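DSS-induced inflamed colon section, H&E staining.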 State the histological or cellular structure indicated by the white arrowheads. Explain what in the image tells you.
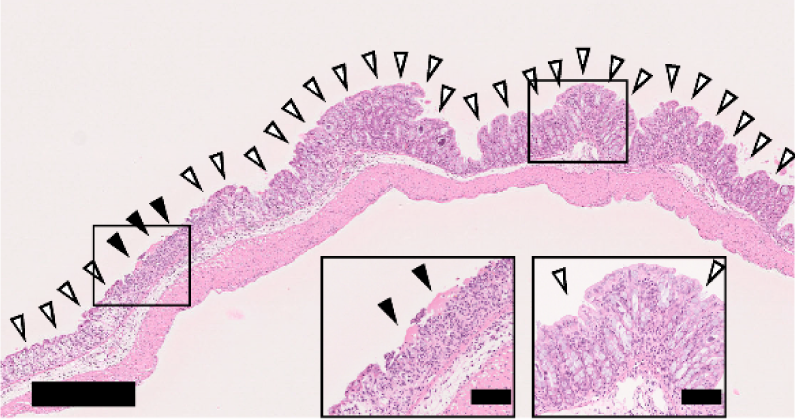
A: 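Surface epithelium. Under the white arrowheads the mucosa keeps a continuous lining facing the lumen. Tall, closely packed crypts run up to the mucosal surface there.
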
